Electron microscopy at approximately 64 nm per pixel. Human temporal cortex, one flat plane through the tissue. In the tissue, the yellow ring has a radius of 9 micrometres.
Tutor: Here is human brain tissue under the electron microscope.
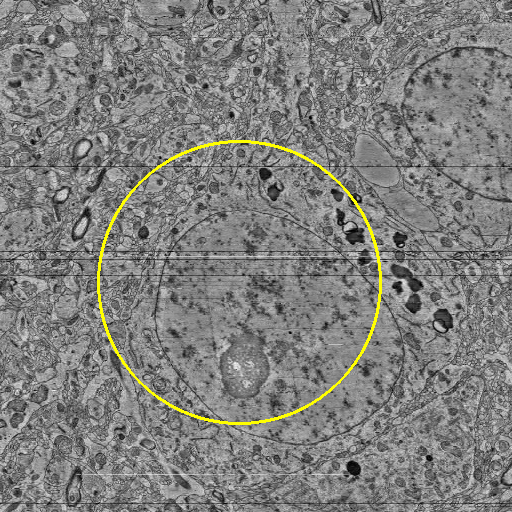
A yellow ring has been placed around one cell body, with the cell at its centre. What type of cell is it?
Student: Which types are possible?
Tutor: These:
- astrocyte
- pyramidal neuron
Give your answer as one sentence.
What the ring picks out here is a pyramidal neuron.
